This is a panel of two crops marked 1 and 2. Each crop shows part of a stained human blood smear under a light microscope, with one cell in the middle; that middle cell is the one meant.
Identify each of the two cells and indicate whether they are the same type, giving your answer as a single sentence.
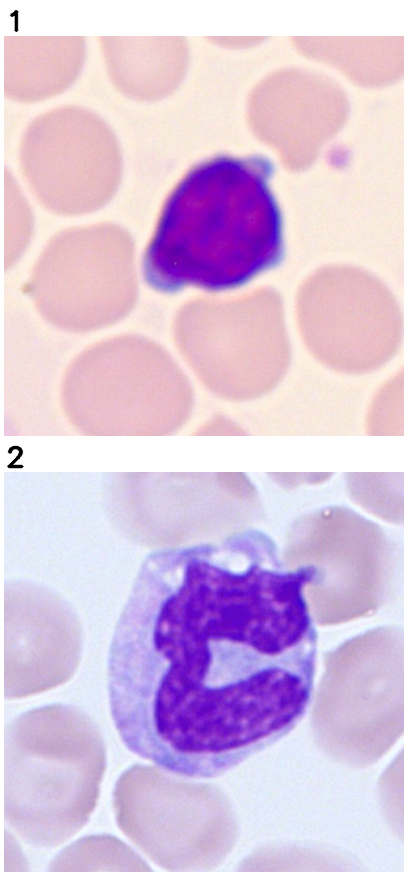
No, crop 1 contains a lymphocyte; a monocyte is what crop 2 contains.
